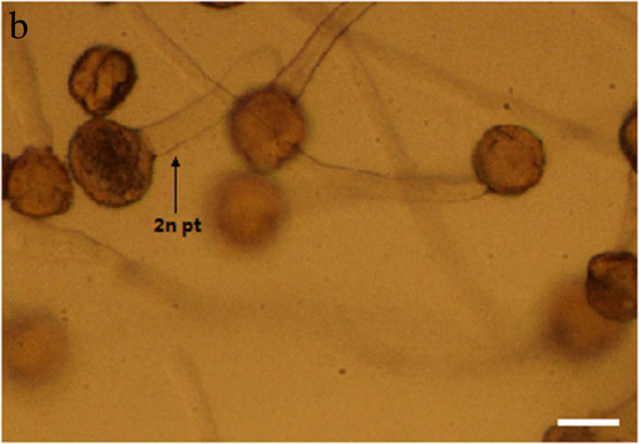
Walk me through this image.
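Round brown pollen grains with granular contents sit among long, thin, translucent tubes that run across the field. Several tubes can be traced back to the grains from which they grow, emerging from one side of the grain. Some grains out of focus appear as pale blurred discs.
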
